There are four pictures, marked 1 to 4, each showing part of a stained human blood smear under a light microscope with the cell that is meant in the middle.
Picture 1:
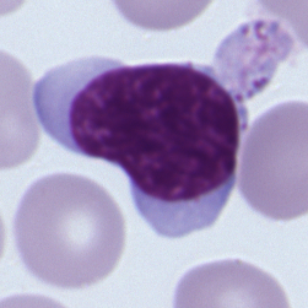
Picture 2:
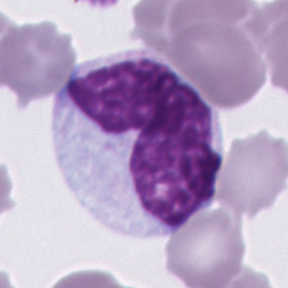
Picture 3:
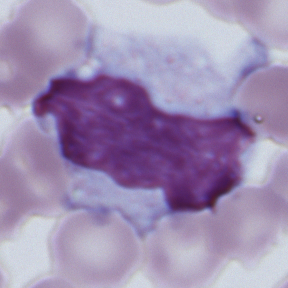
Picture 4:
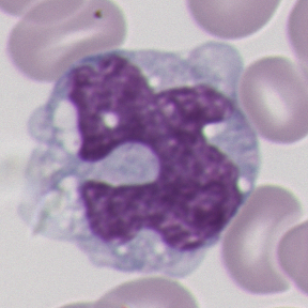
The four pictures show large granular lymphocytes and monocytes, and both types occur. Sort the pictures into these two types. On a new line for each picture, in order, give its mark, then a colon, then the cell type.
1: large granular lymphocyte
2: monocyte
3: monocyte
4: monocyte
